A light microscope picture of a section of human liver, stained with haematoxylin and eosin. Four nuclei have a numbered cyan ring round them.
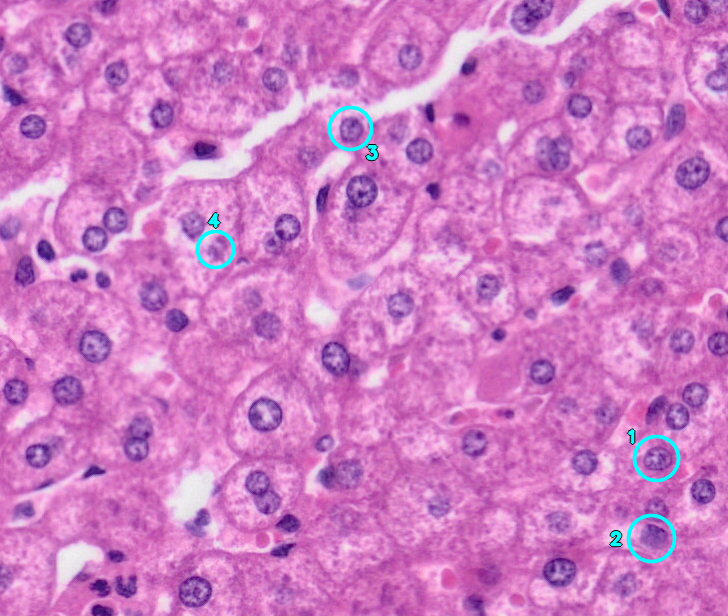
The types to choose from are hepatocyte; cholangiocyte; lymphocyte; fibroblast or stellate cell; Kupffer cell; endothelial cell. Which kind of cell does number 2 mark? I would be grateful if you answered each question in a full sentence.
Cell 2 is classified as an endothelial cell.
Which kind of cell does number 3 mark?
The cell that goes by number 3 is a hepatocyte.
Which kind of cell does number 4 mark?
The cell that goes by number 4 is a hepatocyte.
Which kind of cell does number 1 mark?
The numbered cell 1 is identified here as a hepatocyte.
